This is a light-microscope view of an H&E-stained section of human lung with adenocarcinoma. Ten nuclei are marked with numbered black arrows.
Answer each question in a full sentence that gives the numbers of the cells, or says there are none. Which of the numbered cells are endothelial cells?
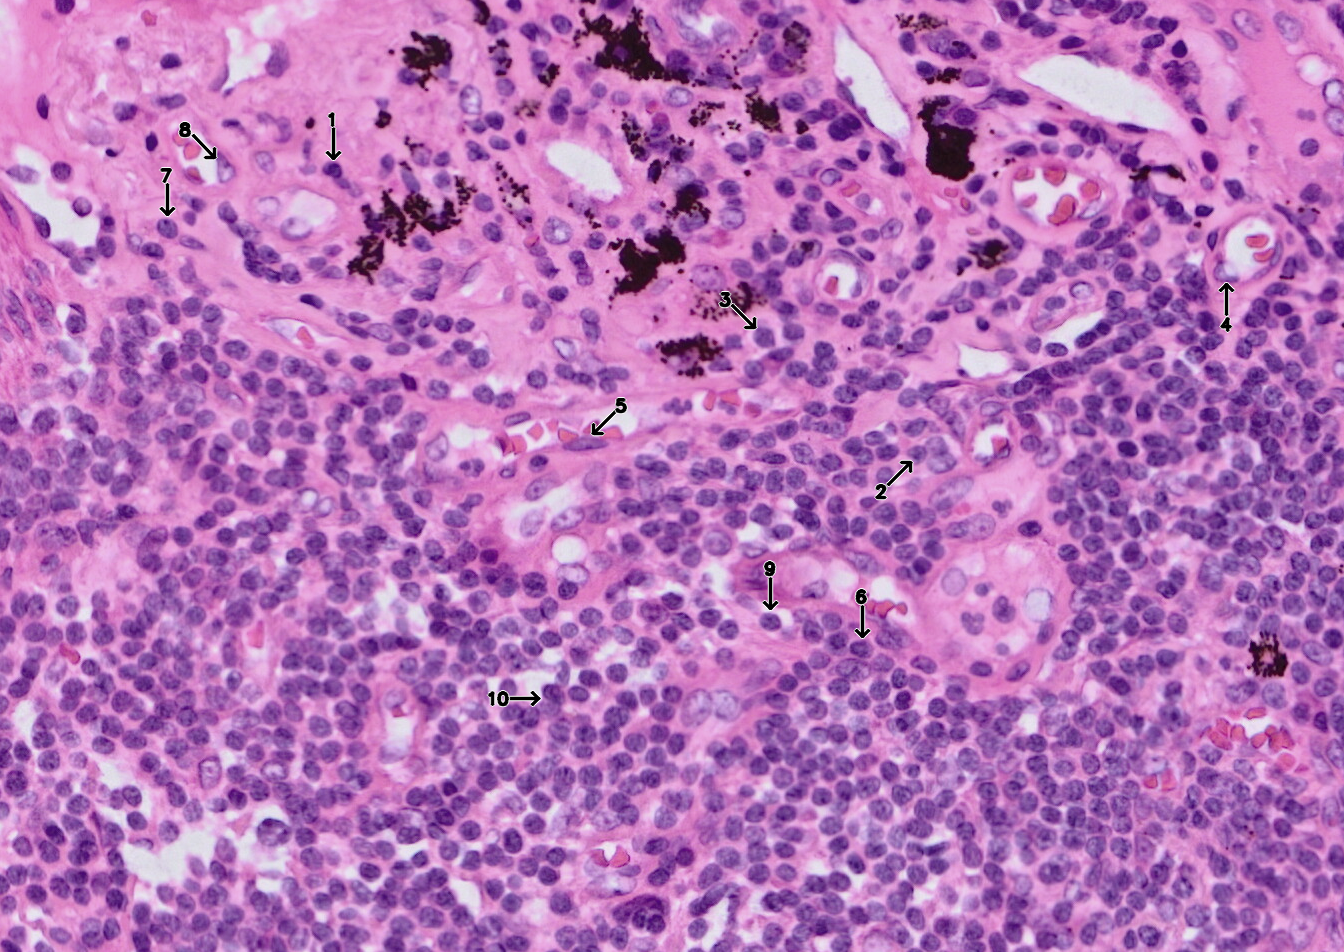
The numbers 4, 5 and 8 mark cells that are endothelial cells.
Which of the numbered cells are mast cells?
The sole numbered cell that is a mast cell is cell 7.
